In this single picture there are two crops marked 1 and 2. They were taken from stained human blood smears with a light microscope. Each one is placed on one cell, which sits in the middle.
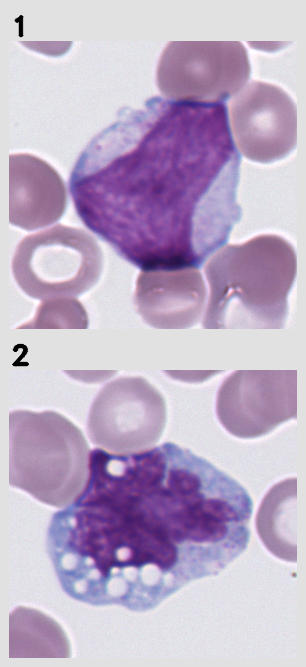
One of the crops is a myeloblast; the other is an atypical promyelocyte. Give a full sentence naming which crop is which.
In short, crop 1 is an atypical promyelocyte and crop 2 is a myeloblast.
